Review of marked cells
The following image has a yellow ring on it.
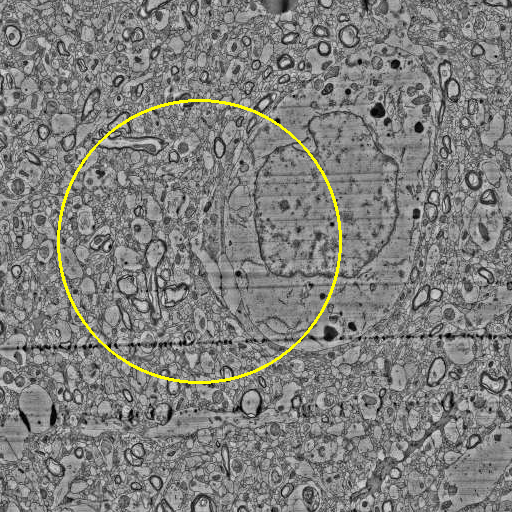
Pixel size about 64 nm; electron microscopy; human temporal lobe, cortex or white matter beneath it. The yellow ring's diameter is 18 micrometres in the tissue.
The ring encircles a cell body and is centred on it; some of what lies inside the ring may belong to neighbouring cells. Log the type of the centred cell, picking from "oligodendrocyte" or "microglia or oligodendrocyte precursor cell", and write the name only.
oligodendrocyte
